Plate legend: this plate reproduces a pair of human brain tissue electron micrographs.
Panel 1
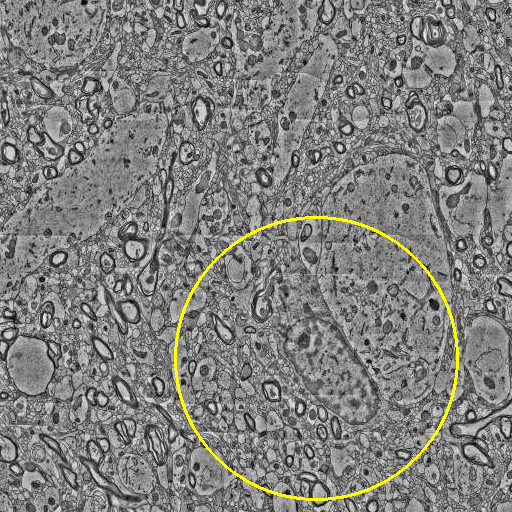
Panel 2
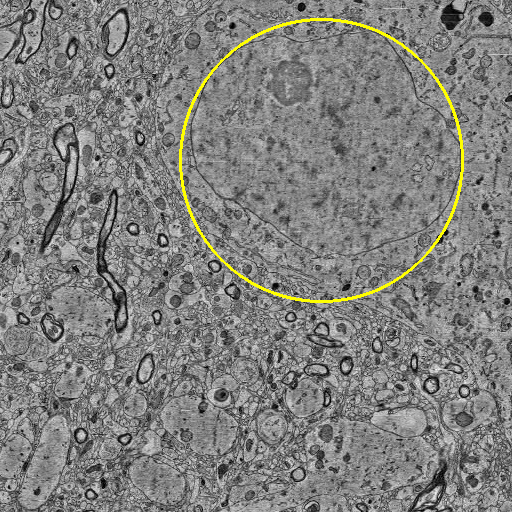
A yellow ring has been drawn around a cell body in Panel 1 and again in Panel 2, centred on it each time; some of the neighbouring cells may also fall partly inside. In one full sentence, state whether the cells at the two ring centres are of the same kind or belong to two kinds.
The ring-centred cells of Panel 1 and Panel 2 belong to two kinds.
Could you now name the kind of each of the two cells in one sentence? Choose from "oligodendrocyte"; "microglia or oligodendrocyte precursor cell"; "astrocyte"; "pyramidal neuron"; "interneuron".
The first ring encloses an oligodendrocyte; the second ring encloses a pyramidal neuron.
